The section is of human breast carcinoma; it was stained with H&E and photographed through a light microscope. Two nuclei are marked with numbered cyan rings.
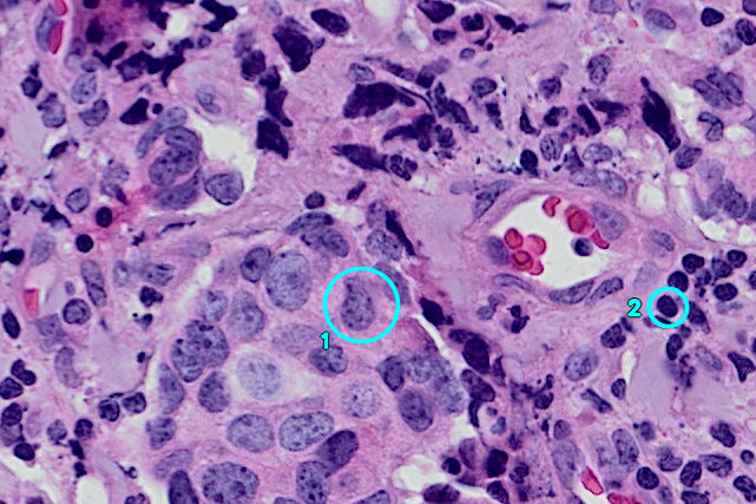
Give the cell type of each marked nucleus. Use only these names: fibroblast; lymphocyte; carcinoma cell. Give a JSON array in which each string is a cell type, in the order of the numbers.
["carcinoma cell", "lymphocyte"]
